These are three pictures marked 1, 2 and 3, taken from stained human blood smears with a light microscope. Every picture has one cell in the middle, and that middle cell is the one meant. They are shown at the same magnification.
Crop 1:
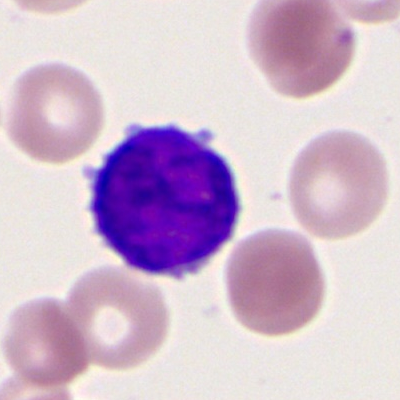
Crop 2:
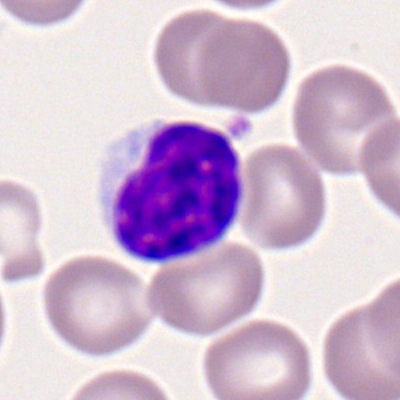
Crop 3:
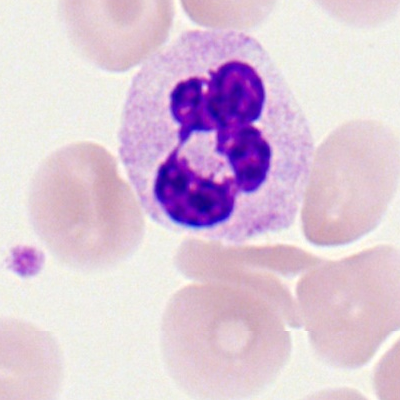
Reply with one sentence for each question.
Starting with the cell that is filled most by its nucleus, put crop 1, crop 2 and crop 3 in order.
They run 1, 2, 3, the most filled first.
